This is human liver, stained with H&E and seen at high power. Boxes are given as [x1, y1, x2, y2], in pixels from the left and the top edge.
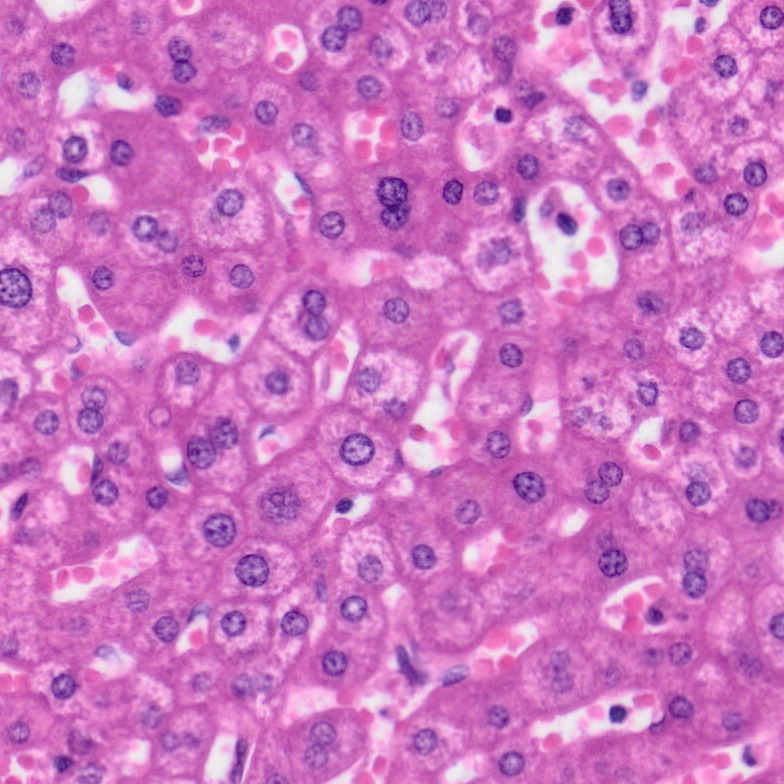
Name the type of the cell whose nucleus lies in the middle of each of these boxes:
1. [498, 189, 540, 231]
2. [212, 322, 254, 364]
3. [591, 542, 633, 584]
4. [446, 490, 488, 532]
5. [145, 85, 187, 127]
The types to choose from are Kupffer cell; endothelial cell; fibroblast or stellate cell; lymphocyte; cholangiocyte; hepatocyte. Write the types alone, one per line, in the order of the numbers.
fibroblast or stellate cell
lymphocyte
hepatocyte
hepatocyte
fibroblast or stellate cell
